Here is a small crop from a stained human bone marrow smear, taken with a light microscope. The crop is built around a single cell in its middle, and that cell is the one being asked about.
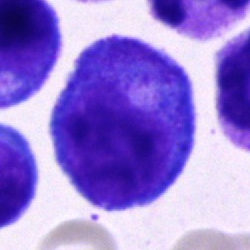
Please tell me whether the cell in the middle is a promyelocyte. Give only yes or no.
yes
